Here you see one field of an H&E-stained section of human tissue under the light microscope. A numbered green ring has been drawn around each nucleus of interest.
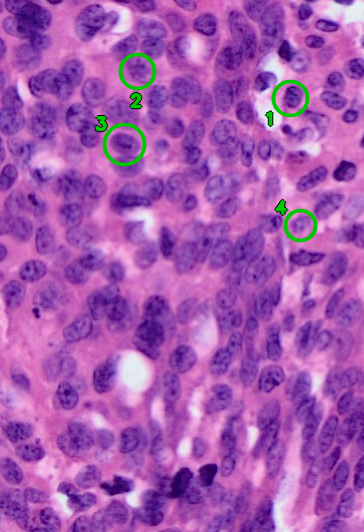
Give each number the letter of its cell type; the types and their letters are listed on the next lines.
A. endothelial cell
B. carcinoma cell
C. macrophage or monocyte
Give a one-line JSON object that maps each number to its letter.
{"1": "C", "2": "B", "3": "B", "4": "C"}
